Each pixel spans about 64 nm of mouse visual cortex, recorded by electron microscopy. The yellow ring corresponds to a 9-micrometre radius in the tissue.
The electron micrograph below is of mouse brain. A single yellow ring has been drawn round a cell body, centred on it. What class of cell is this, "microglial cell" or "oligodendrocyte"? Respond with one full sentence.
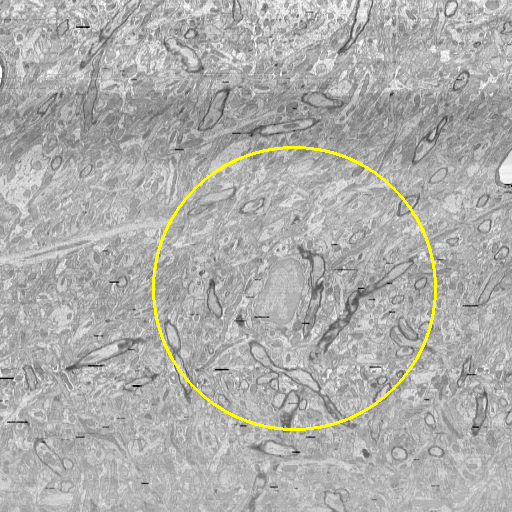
In the micrograph, the cell centred inside the yellow ring is a microglial cell.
